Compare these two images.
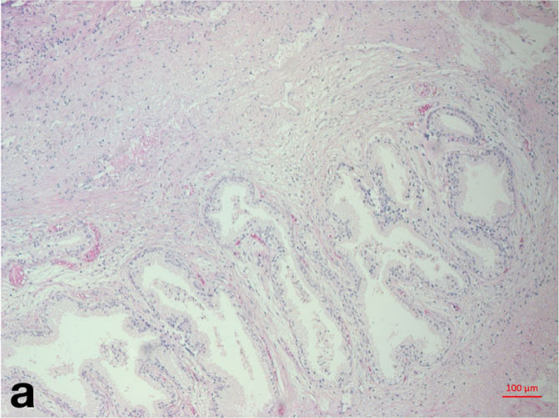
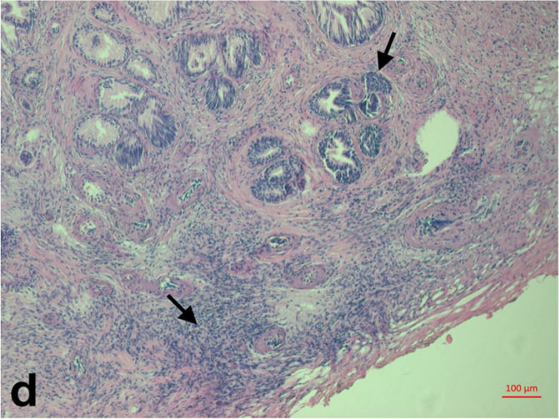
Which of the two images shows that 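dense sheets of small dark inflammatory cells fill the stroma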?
The second image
